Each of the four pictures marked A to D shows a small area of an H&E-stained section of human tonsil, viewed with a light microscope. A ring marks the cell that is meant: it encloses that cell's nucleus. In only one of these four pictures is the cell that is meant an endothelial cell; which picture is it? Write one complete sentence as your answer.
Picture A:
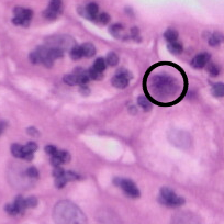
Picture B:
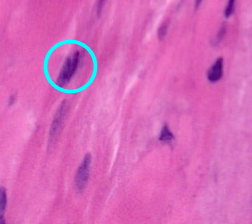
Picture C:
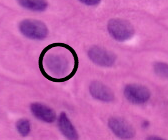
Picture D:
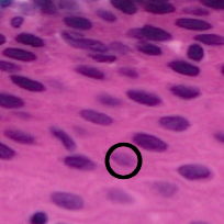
Picture B shows the endothelial cell.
